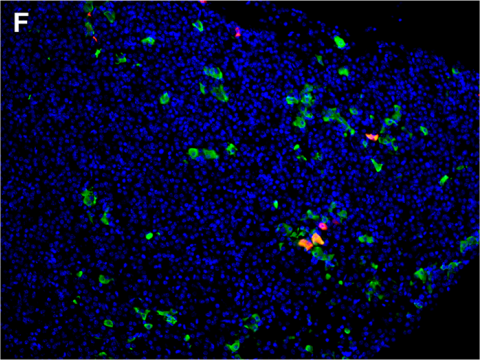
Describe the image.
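Green-stained cells with angular, irregular cytoplasm are scattered singly and in small groups. Only a few red cells appear, and a couple of them lie on green cells, giving a yellow-orange overlap.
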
